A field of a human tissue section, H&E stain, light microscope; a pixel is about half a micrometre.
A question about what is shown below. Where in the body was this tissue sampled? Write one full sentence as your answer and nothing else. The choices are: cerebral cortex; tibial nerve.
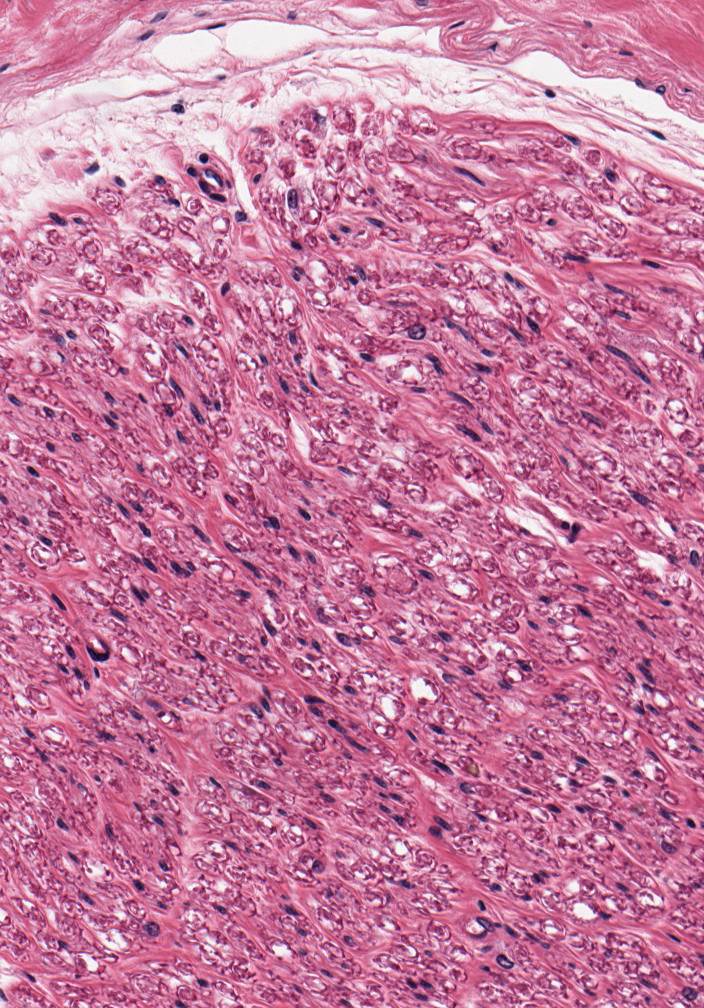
A specimen of the tibial nerve is what this section contains.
